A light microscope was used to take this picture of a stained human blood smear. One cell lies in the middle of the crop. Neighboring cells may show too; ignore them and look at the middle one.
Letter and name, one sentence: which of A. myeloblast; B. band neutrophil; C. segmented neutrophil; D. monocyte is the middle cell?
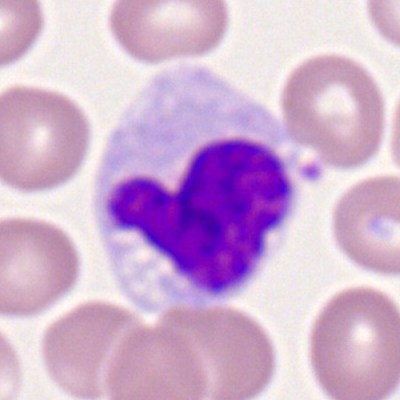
That middle cell is a monocyte, and option D is therefore correct.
